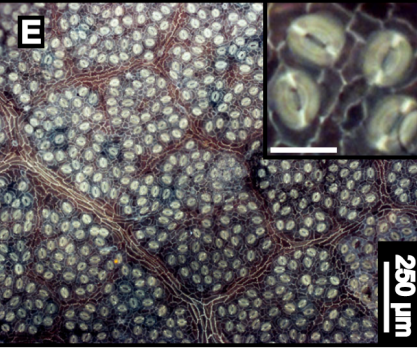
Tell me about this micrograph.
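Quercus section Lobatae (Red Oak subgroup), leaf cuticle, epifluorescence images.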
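Small oval stomata, each a pair of guard cells around a slit-like pore, are packed closely in the areas between the veins. Over the veins run bands of long, narrow epidermal cells whose outlines lie parallel to one another, dividing the surface into a network of polygons.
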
